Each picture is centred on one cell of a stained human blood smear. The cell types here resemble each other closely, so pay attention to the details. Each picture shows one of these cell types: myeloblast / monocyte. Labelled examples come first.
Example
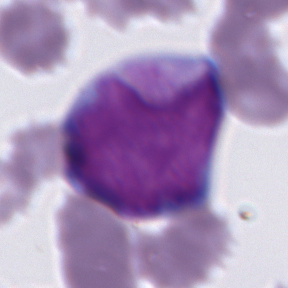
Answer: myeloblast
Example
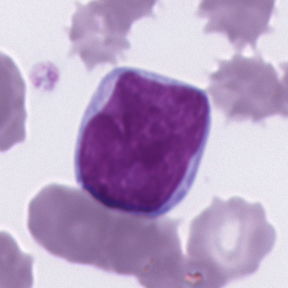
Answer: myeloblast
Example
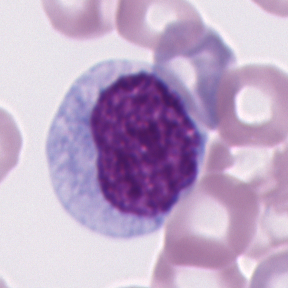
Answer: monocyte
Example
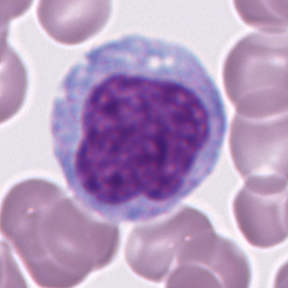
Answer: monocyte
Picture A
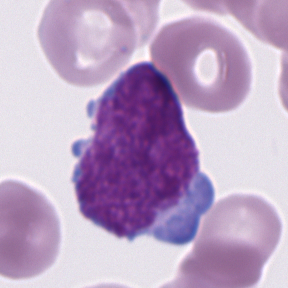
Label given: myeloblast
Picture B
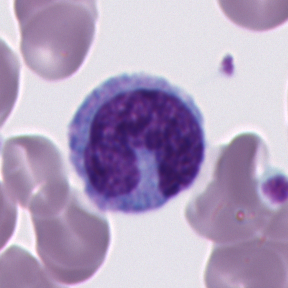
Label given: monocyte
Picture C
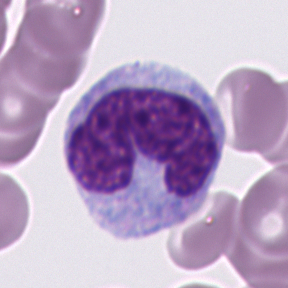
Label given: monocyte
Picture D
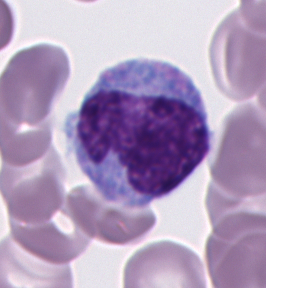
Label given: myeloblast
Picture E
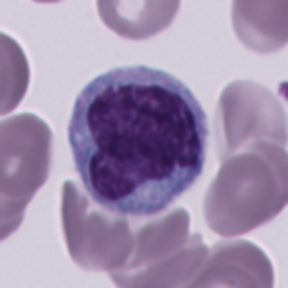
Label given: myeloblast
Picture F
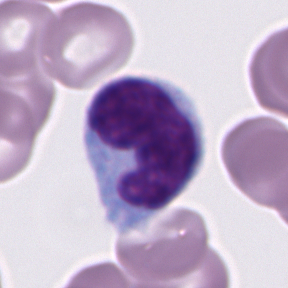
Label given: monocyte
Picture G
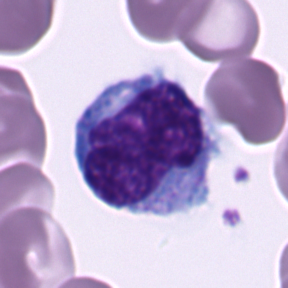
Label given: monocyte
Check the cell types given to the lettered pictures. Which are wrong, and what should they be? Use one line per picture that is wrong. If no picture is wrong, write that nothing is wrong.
Wrong: D (myeloblast); correct: monocyte
Wrong: E (myeloblast); correct: monocyte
